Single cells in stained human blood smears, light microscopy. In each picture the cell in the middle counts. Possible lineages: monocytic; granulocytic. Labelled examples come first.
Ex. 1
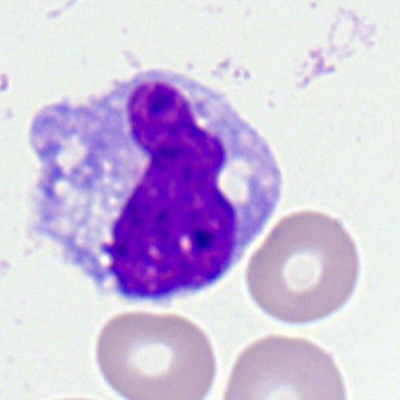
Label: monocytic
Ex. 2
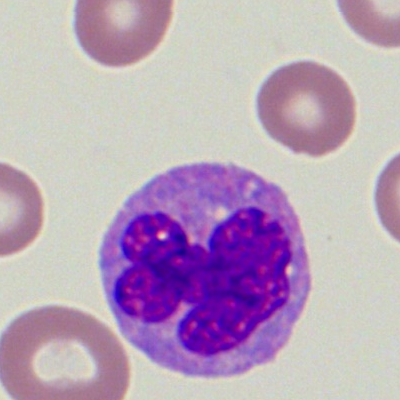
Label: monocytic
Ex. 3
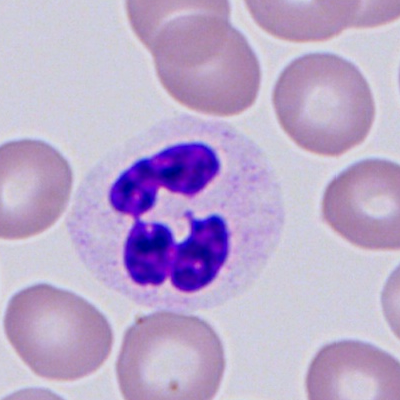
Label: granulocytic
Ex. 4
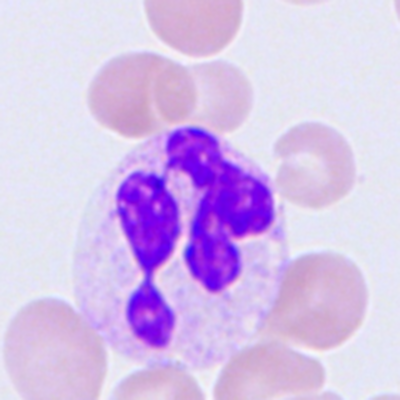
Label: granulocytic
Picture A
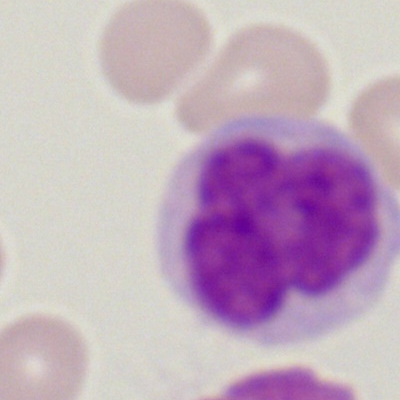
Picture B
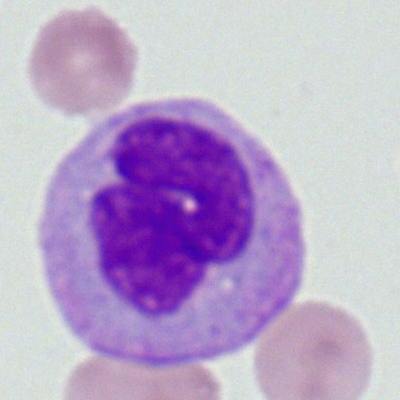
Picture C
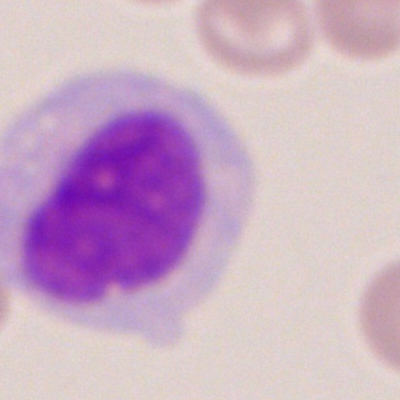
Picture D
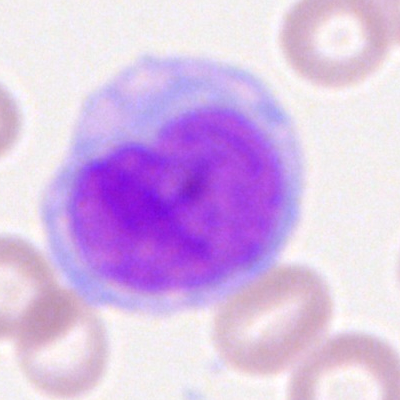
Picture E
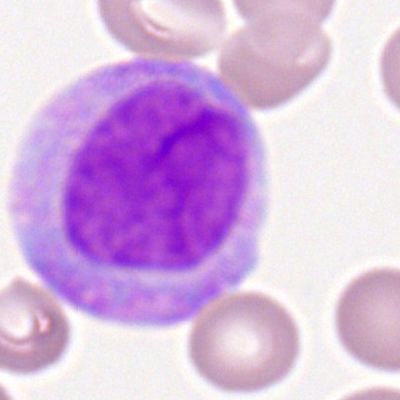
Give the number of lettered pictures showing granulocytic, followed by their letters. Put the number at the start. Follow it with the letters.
0, none of them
